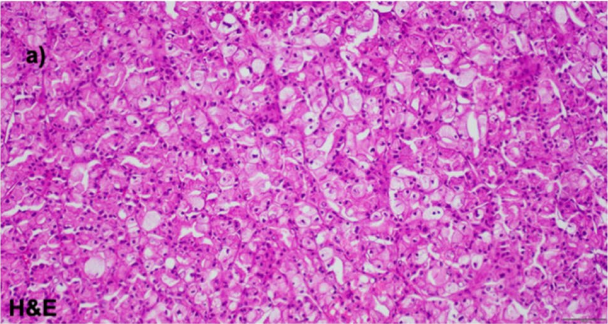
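Chromophobe renal cell carcinoma made of large polygonal tumour cells arranged in solid sheets and nests separated by thin, delicate vascular septa. The cells have abundant cytoplasm that varies from pale and finely reticular to pink, with some cells more deeply pink than others. Nuclei are small, round to slightly irregular and dark, and many sit within a clear perinuclear halo. Scattered cells are swollen with very pale, almost empty cytoplasm. No glandular lumina or papillae are seen, and the tissue is densely cellular throughout.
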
